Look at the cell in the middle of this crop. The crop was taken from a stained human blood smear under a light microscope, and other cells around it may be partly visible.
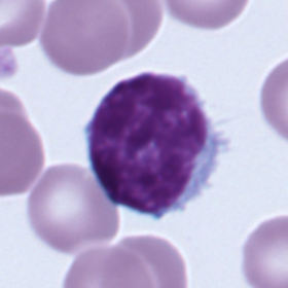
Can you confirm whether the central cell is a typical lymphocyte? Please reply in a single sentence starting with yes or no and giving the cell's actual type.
Yes, the cell shown in the middle is a typical lymphocyte.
